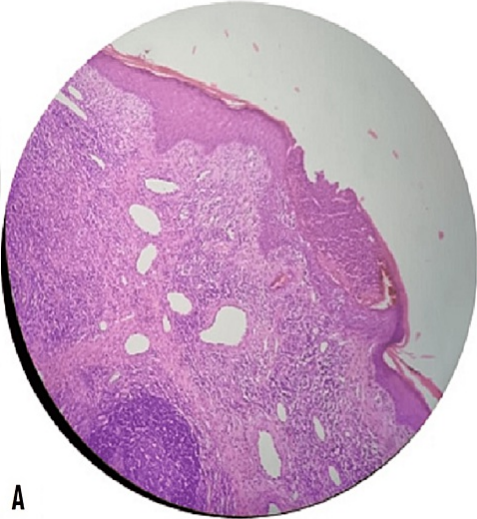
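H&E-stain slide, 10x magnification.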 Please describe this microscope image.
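Skin-like tissue with a pink stratified squamous surface epithelium at the upper right overlies a dense, purple-staining cellular infiltrate. Numerous round to oval empty spaces of small and medium size, consistent with dilated blood vessels, are scattered through the tissue beneath the epithelium.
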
